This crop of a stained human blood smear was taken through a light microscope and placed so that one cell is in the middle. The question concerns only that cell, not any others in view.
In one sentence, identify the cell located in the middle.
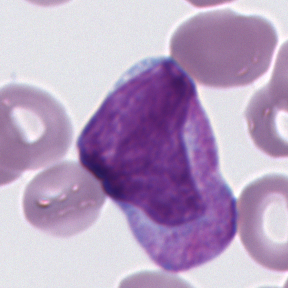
What sits at the centre of this crop is an atypical promyelocyte.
